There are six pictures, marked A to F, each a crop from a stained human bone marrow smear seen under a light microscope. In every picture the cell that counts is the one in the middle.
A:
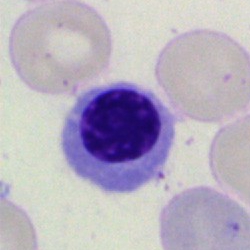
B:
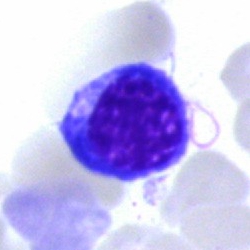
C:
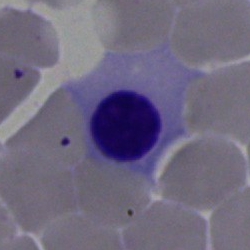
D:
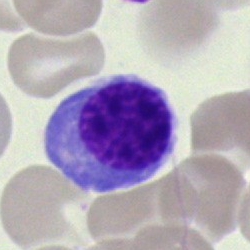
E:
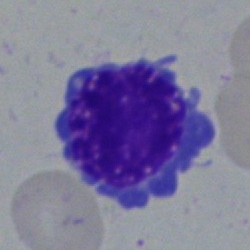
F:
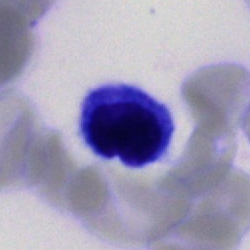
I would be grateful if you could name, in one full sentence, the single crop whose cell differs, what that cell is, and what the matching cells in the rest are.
The crop that differs is crop F, showing a lymphocyte; the others show normoblasts.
